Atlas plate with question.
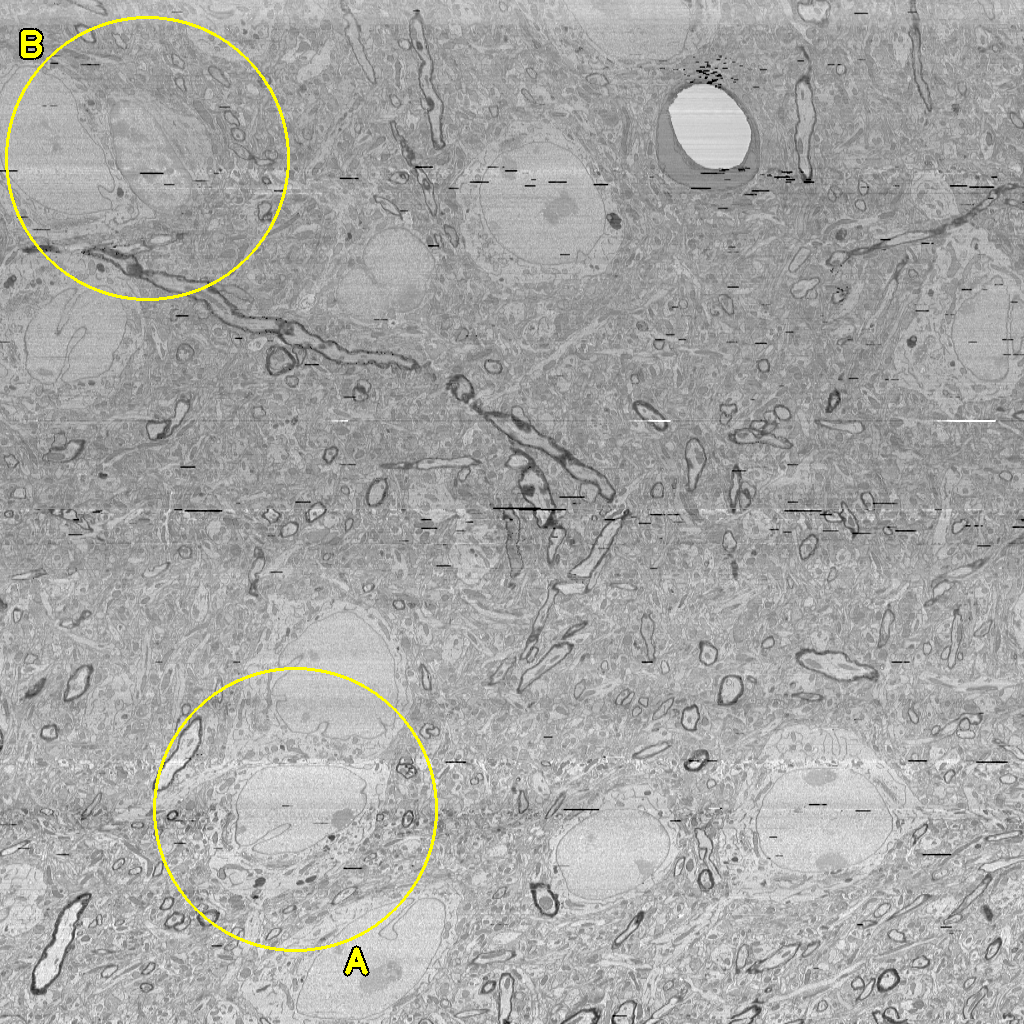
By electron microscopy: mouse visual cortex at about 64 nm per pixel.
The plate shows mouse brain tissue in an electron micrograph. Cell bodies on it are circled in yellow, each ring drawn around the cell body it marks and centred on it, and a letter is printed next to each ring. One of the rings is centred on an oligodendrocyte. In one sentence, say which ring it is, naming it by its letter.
It is ring B.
